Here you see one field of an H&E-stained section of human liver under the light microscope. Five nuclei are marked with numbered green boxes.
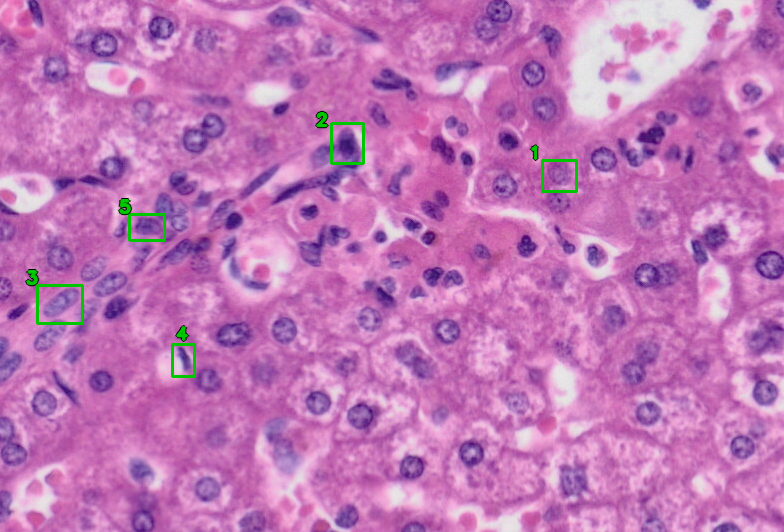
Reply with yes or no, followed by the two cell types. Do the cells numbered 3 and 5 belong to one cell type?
Yes, cells 3 and 5 are cholangiocytes, the two of them alike.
